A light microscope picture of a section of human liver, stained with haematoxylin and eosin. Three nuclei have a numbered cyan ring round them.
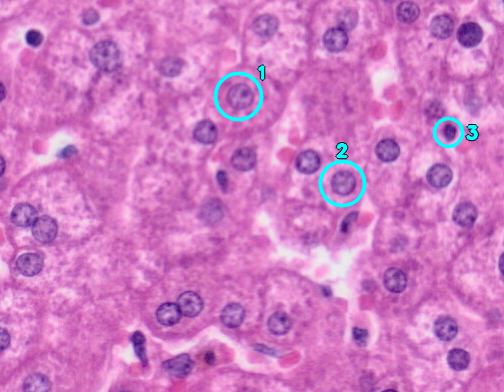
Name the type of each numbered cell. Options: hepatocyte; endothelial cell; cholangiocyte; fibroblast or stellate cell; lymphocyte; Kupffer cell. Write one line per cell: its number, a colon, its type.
1: hepatocyte
2: hepatocyte
3: lymphocyte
